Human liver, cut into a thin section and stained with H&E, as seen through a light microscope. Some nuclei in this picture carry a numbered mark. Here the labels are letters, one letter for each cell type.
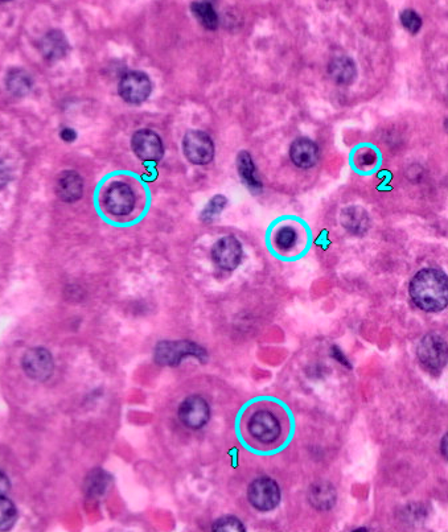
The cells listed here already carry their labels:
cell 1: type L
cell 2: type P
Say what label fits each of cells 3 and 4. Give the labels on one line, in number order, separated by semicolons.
type L; type P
